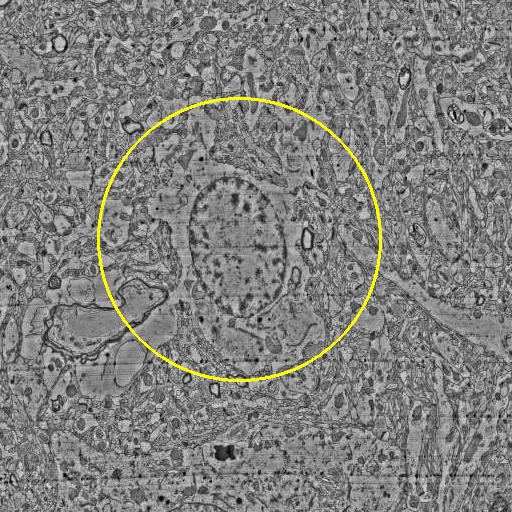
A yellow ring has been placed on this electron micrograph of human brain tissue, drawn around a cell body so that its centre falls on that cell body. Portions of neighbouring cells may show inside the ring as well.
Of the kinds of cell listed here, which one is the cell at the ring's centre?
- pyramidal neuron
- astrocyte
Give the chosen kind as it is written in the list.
astrocyte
